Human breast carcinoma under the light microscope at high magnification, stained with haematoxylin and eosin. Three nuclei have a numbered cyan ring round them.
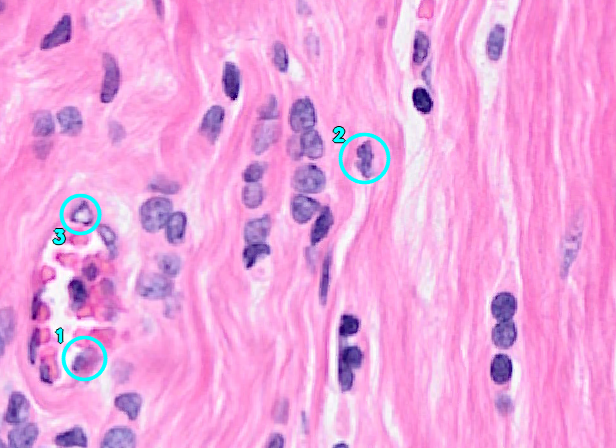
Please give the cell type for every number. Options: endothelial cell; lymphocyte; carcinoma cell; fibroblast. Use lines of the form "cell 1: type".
cell 1: endothelial cell
cell 2: lymphocyte
cell 3: endothelial cell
